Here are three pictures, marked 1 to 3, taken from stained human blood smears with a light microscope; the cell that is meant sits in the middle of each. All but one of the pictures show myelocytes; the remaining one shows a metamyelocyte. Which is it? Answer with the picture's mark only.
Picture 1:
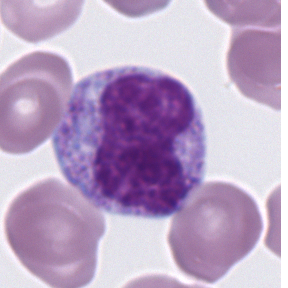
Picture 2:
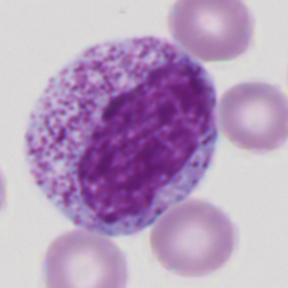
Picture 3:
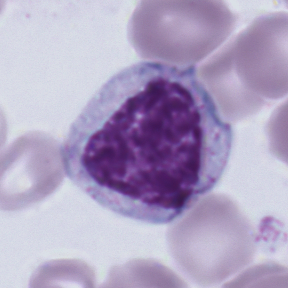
1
